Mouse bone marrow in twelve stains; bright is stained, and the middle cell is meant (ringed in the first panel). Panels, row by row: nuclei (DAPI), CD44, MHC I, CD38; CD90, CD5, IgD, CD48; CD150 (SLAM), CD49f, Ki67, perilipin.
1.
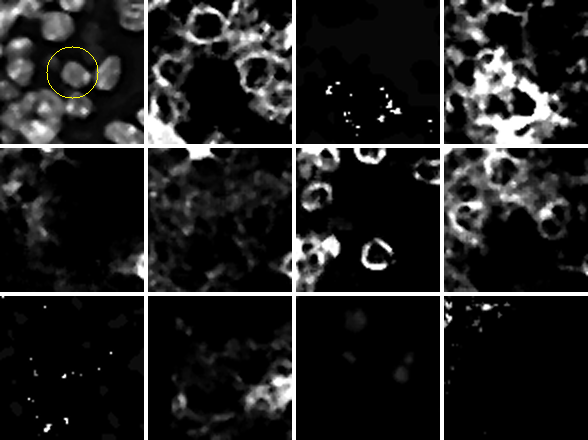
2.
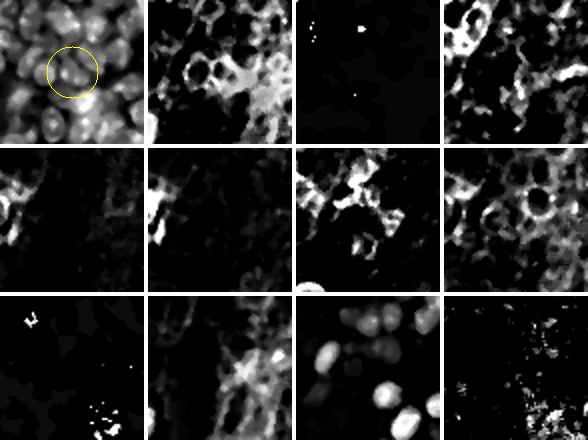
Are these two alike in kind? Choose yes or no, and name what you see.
No. First a capillary endothelial cell, second a monocyte.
